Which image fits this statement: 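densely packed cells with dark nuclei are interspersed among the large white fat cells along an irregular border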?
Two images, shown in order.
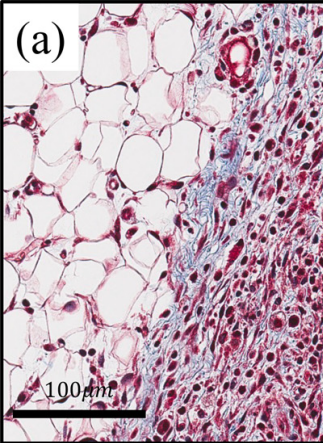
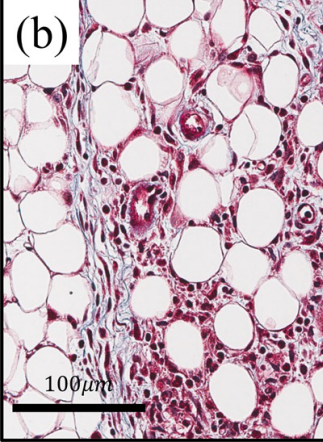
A: the second image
